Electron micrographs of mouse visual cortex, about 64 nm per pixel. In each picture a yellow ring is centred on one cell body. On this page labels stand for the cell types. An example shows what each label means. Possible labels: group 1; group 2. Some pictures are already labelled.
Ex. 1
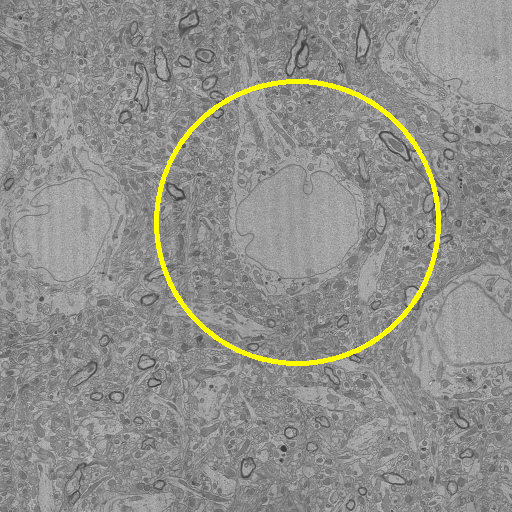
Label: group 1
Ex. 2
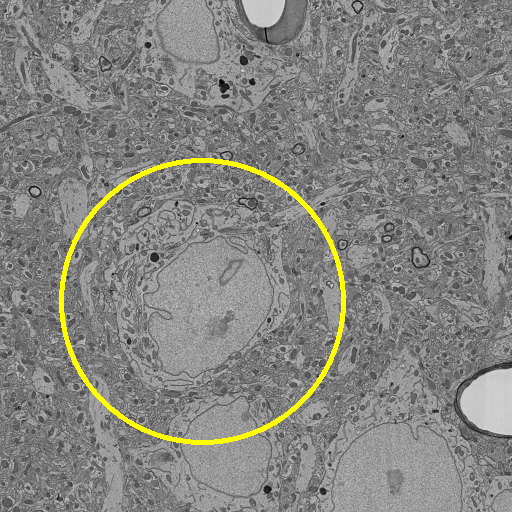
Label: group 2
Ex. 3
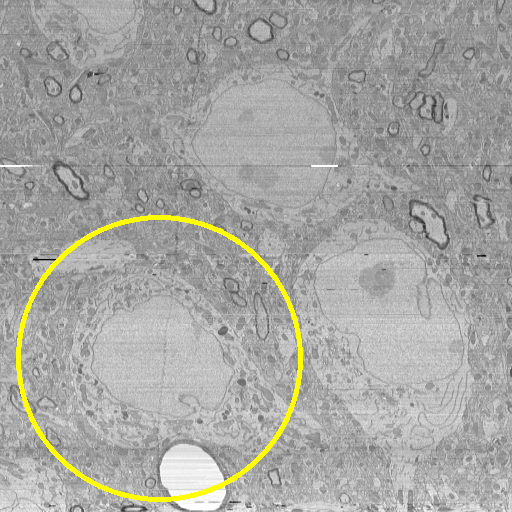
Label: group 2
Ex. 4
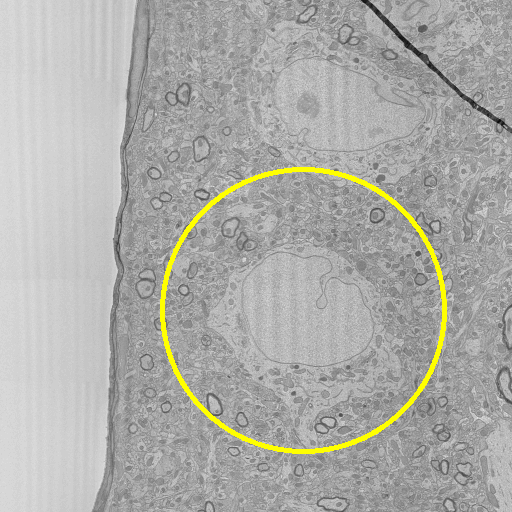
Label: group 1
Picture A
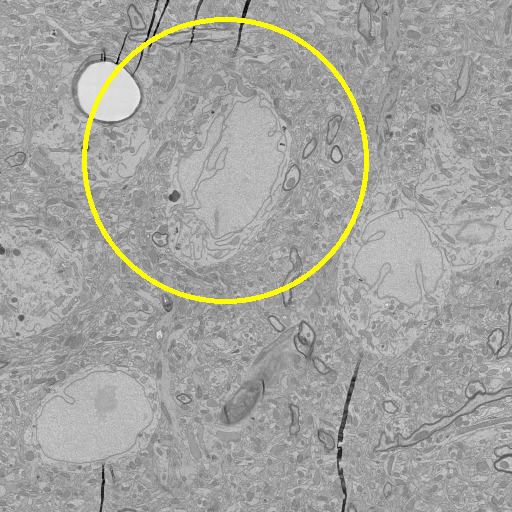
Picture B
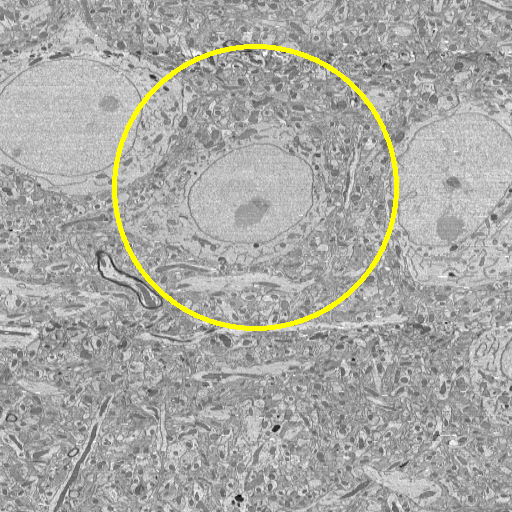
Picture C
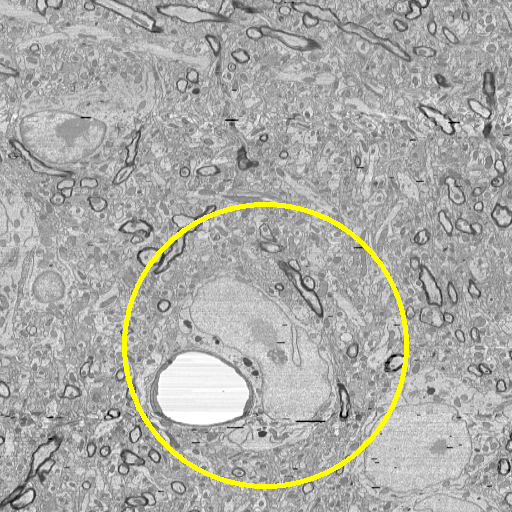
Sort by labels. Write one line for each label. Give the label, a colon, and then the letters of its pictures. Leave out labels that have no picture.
group 1: B
group 2: A, C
